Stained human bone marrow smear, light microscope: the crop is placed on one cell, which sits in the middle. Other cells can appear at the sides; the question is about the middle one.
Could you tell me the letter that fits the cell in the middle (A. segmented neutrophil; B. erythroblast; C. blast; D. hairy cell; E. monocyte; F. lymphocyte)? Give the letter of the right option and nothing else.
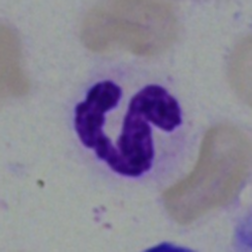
A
